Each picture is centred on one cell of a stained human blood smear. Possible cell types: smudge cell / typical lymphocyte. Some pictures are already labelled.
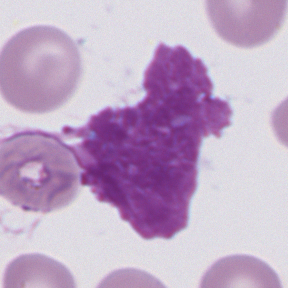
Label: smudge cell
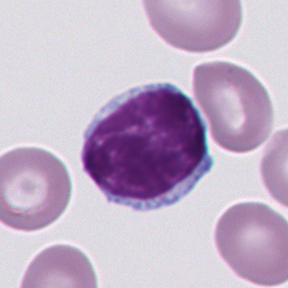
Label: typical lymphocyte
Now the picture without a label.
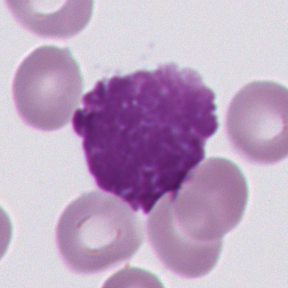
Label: smudge cell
